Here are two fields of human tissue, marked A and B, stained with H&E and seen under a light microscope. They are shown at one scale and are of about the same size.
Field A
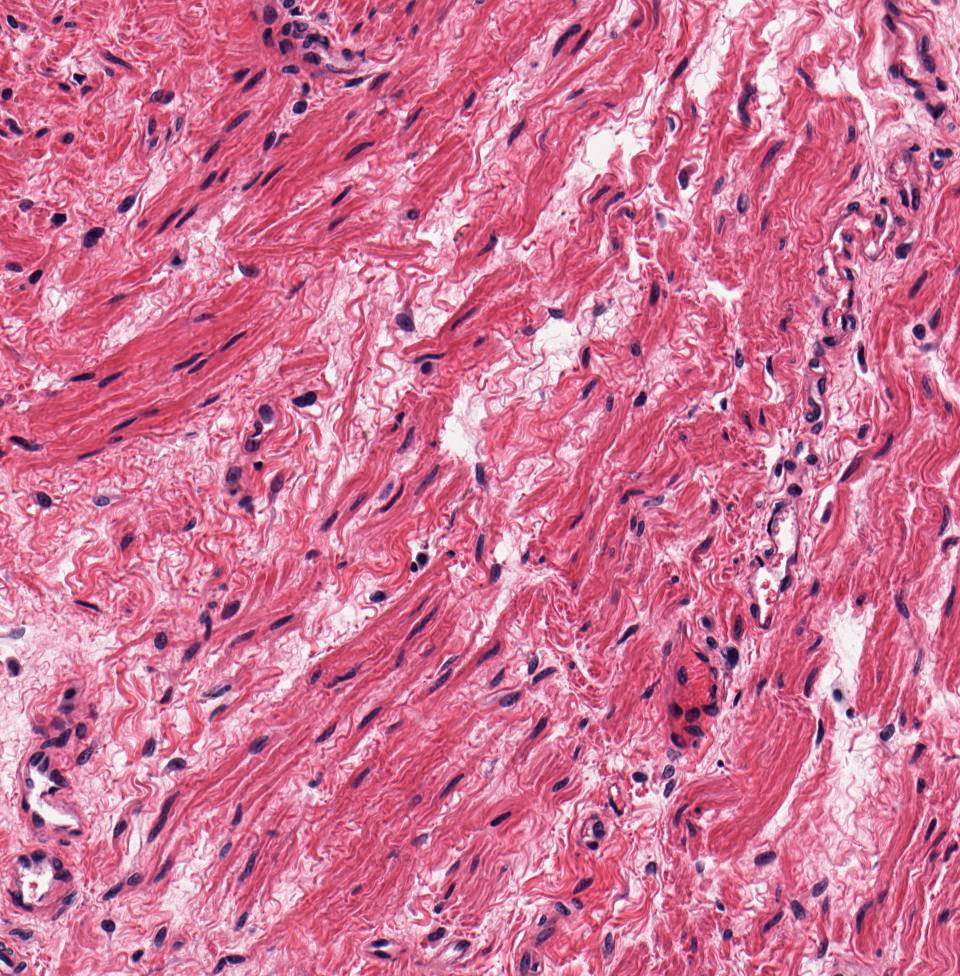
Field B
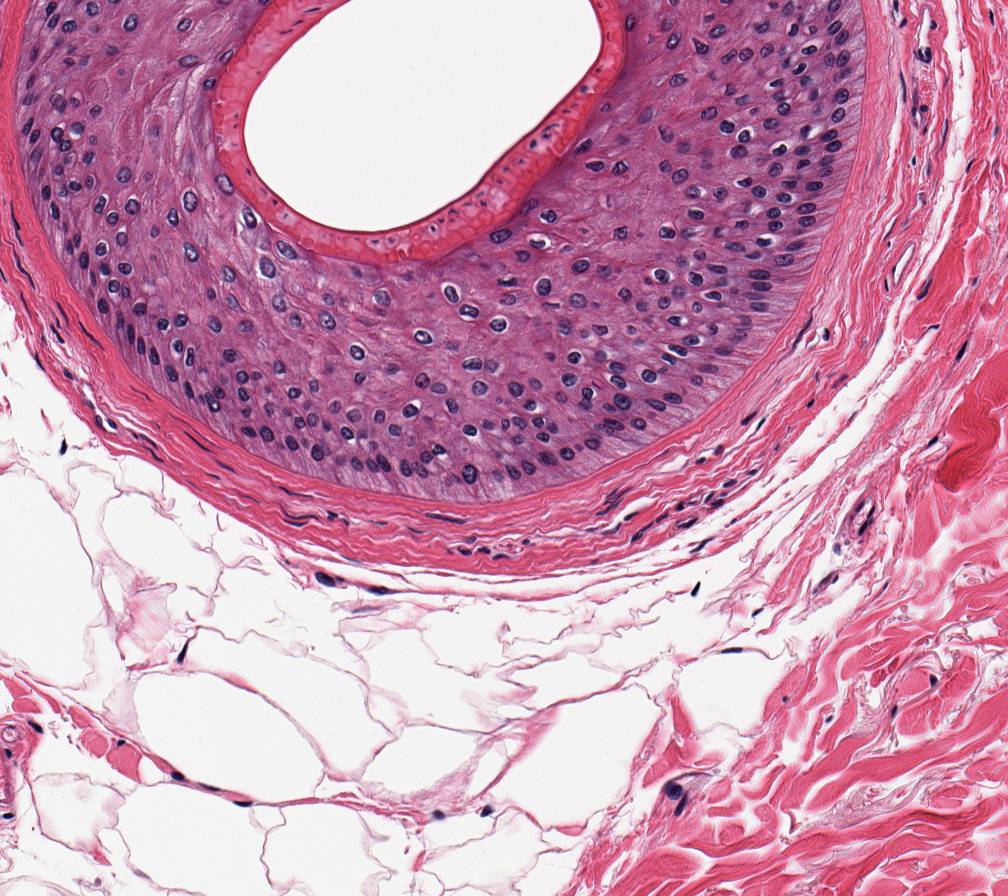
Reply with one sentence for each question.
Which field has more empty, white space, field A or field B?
More of field B is empty and white.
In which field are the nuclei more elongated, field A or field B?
The nuclei are more elongated in field A.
